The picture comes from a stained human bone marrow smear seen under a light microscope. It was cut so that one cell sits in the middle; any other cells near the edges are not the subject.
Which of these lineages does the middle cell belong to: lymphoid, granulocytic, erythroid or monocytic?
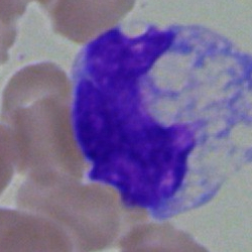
monocytic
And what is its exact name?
monocyte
